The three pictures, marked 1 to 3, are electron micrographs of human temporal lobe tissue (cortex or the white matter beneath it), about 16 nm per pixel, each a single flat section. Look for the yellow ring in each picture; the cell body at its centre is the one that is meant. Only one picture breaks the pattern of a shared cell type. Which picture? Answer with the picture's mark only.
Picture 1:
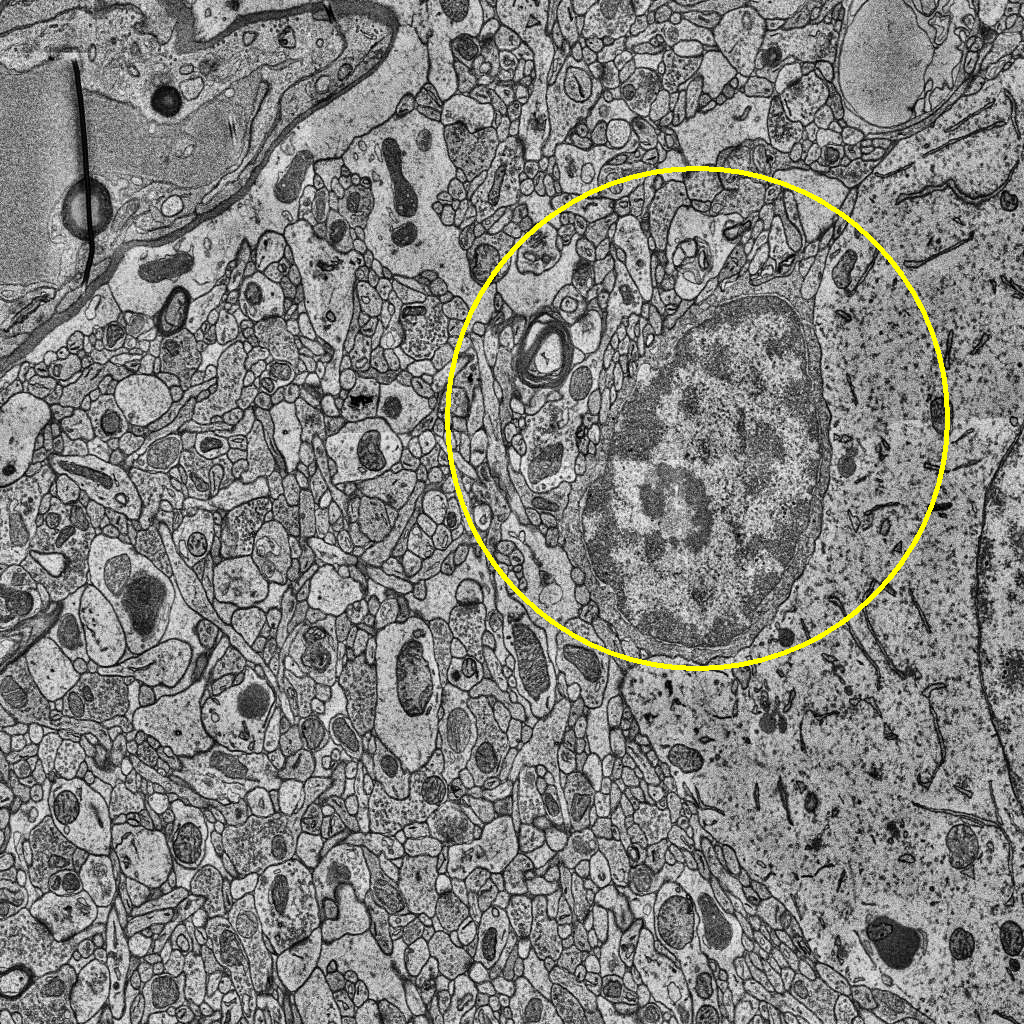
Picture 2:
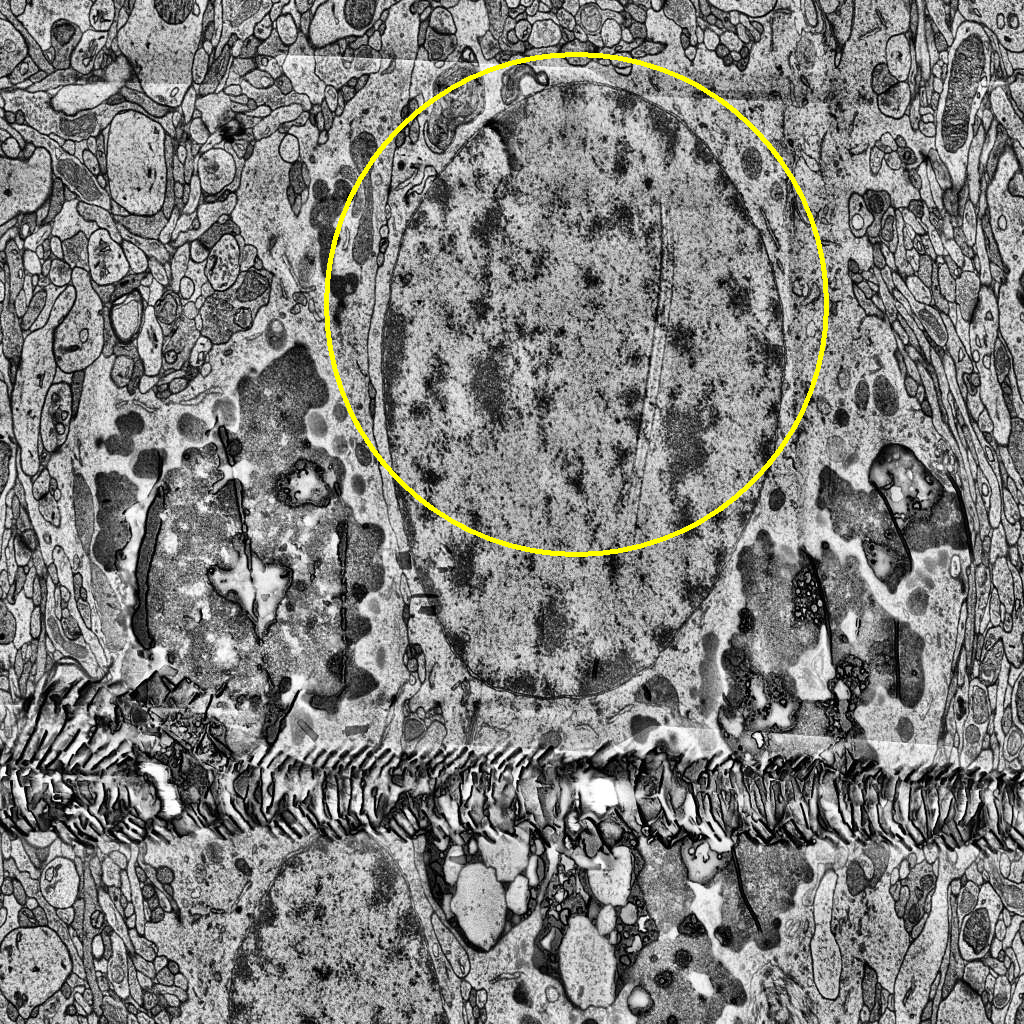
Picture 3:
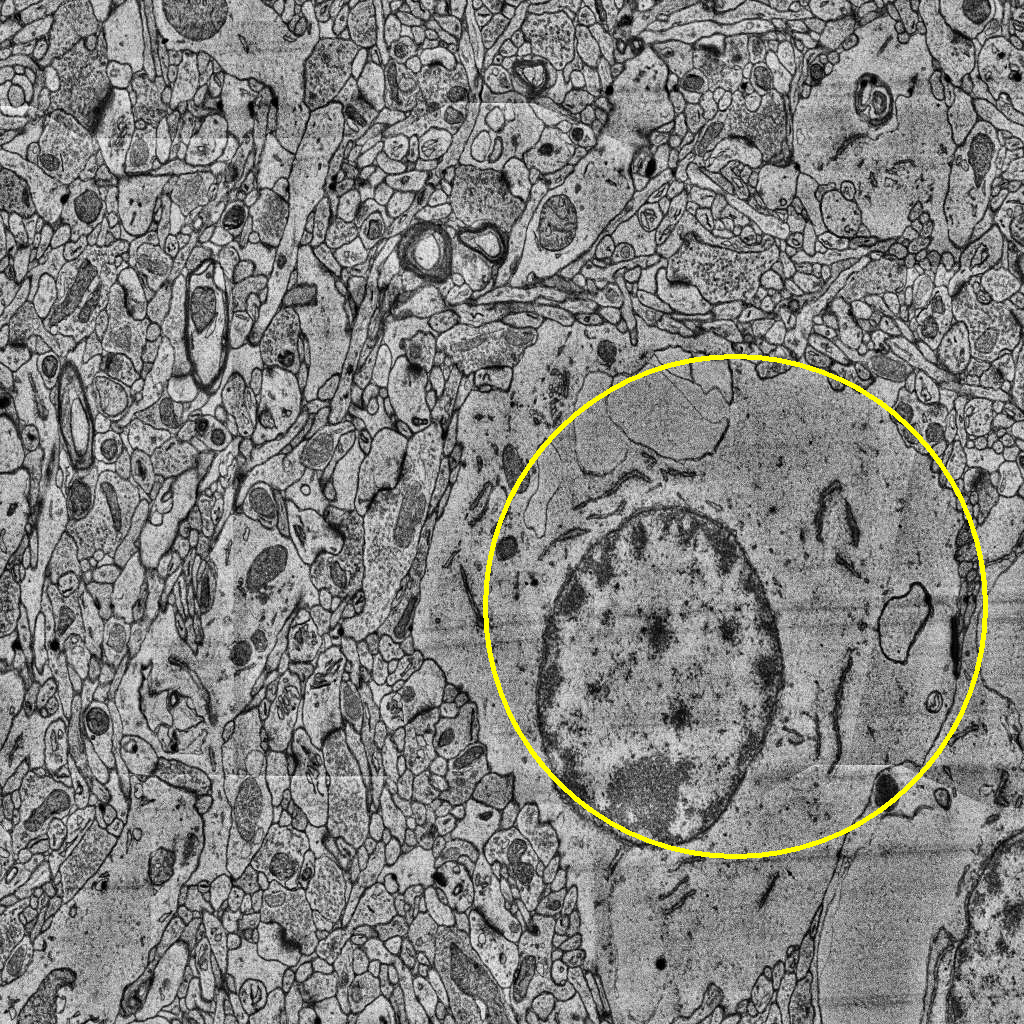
1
